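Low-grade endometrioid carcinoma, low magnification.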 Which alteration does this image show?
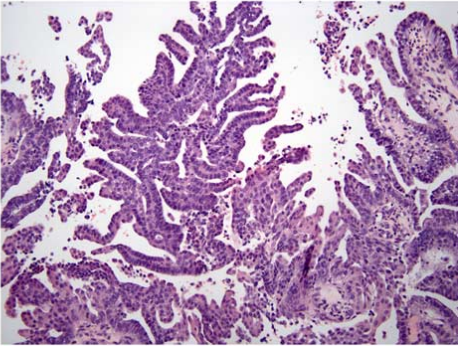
Micropapillary.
